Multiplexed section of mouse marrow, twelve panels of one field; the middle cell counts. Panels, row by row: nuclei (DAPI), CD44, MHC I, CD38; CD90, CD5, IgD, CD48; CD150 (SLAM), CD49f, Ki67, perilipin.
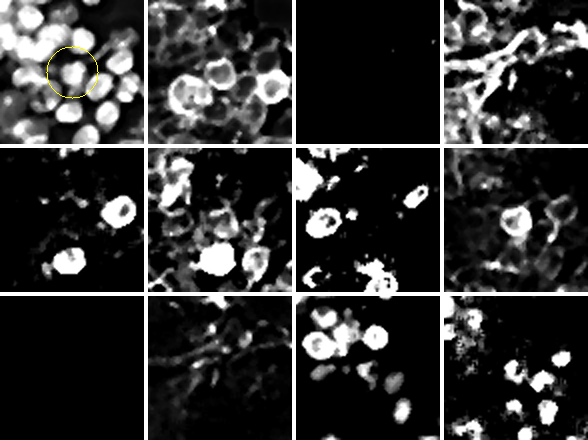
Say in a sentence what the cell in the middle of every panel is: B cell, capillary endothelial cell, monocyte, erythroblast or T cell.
This is a monocyte.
